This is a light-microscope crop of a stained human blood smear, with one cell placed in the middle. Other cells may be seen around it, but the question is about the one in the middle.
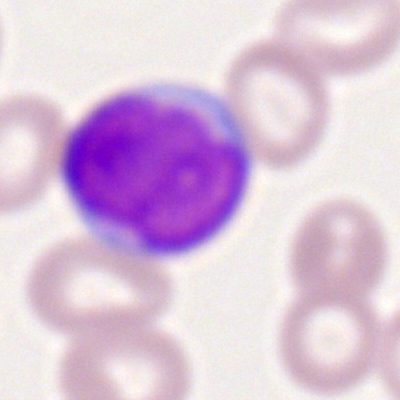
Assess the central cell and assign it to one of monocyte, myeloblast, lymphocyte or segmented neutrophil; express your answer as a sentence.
The centrally located cell in the crop is a myeloblast.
